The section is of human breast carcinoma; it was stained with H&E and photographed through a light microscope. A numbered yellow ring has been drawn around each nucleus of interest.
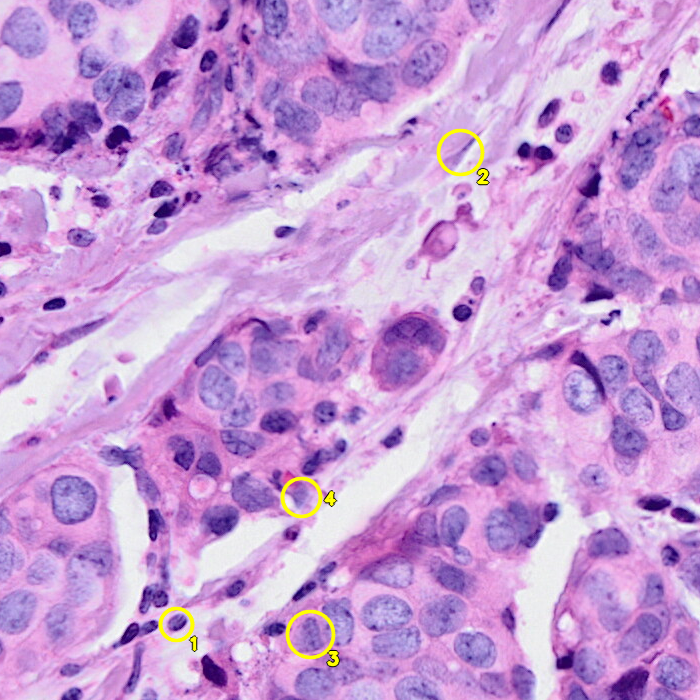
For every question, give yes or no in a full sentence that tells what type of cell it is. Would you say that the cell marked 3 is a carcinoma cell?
Yes, the cell at number 3 is a carcinoma cell.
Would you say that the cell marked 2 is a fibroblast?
Yes, the marked cell with number 2 is a fibroblast.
